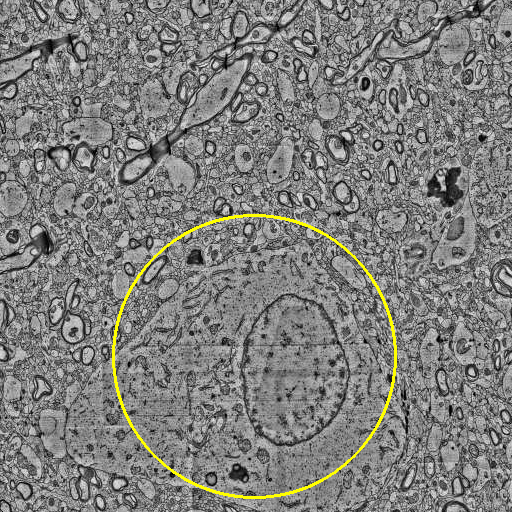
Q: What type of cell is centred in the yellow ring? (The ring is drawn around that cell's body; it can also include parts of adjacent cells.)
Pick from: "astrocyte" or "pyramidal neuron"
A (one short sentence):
The yellow ring is centred on a pyramidal neuron.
